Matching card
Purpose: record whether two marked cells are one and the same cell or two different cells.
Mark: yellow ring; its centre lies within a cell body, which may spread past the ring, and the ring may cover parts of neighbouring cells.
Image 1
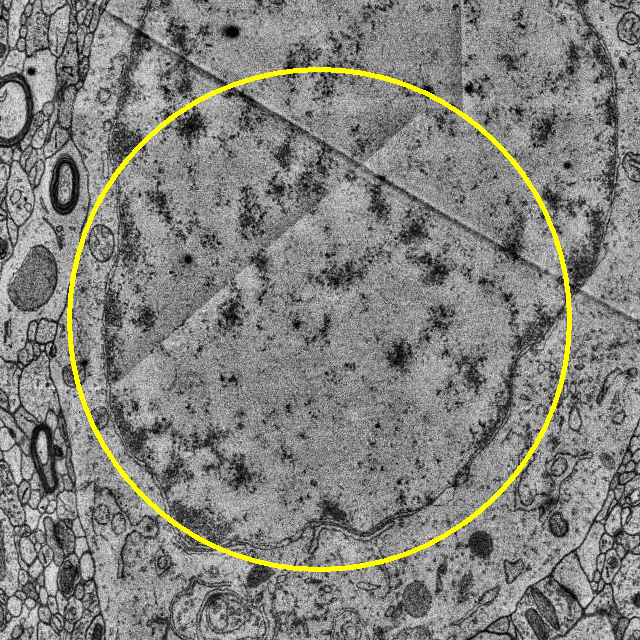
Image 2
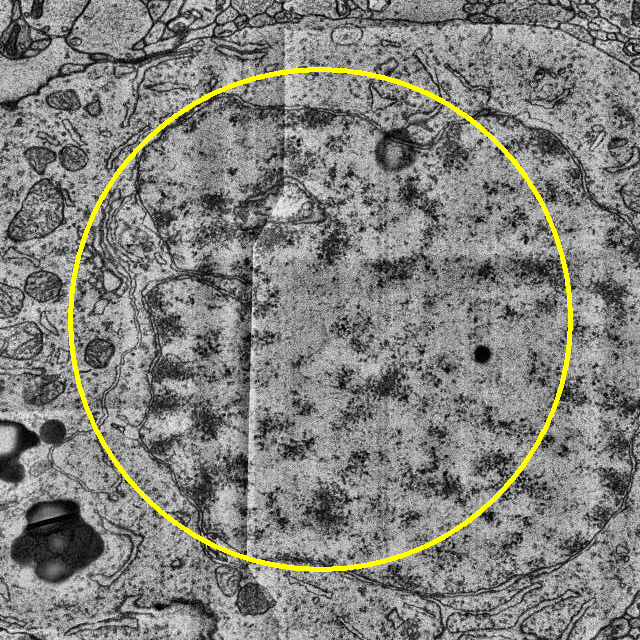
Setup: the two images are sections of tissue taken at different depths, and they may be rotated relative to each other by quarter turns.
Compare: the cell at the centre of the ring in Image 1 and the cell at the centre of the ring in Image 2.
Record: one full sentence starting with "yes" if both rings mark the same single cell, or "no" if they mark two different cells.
No, these two rings belong to two distinct cells.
